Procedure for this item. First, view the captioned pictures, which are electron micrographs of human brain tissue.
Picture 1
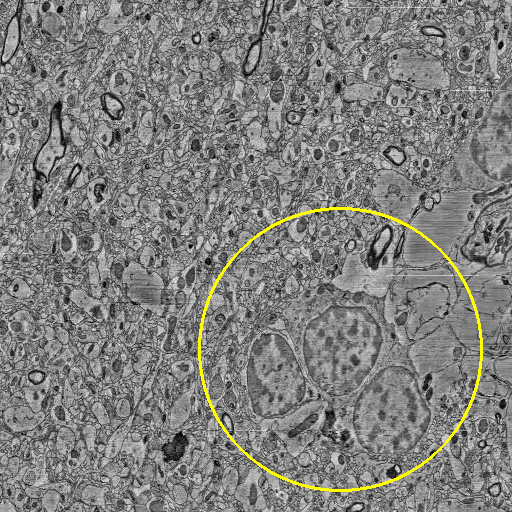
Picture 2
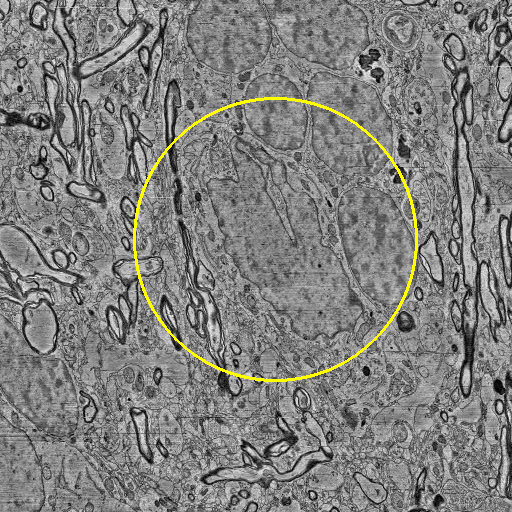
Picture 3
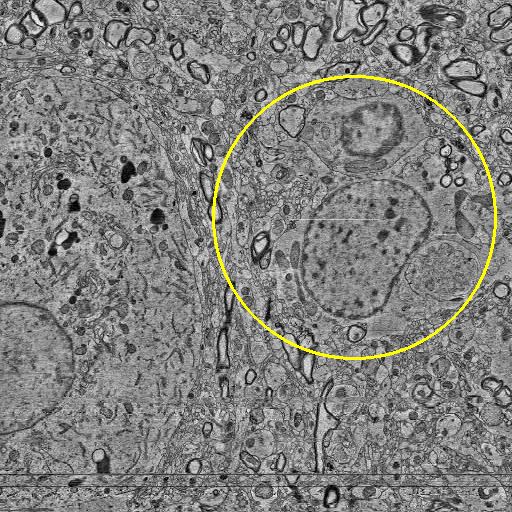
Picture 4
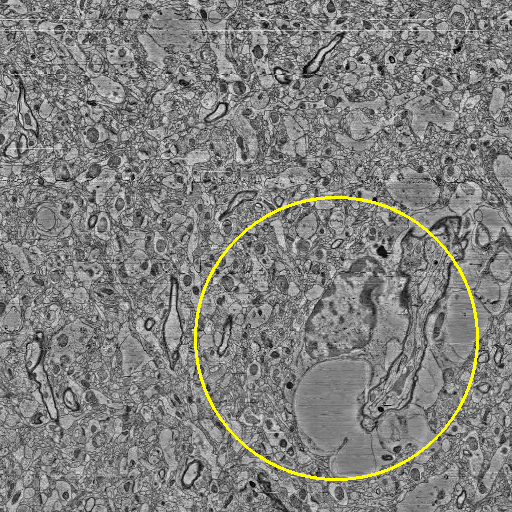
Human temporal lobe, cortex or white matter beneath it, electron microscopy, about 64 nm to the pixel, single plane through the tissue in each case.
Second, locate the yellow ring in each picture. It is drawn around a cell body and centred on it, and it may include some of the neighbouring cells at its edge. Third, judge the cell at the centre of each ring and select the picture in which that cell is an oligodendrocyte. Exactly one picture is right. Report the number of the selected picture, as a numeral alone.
1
